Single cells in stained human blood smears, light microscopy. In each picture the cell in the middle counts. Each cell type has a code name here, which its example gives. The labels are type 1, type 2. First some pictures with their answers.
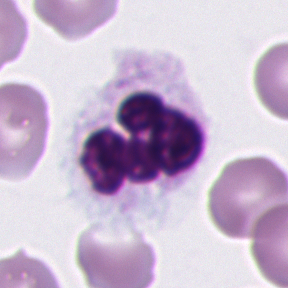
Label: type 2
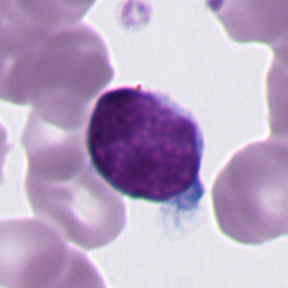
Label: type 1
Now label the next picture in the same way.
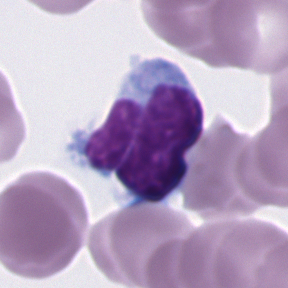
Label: type 1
